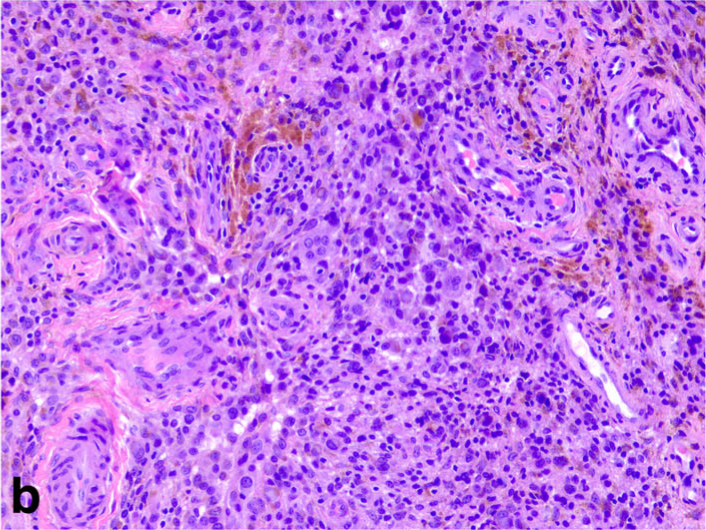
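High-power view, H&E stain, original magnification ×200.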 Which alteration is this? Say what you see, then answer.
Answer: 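Hemosiderin deposits. Golden-brown granular pigment lies in clusters between the cells. The pigment is most concentrated in the upper middle and upper right of the field.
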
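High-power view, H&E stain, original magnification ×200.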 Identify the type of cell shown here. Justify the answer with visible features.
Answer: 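Sheets of cells, each with a single round to oval nucleus. The cells are packed densely between small vessels. On this evidence: mononuclear cells.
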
